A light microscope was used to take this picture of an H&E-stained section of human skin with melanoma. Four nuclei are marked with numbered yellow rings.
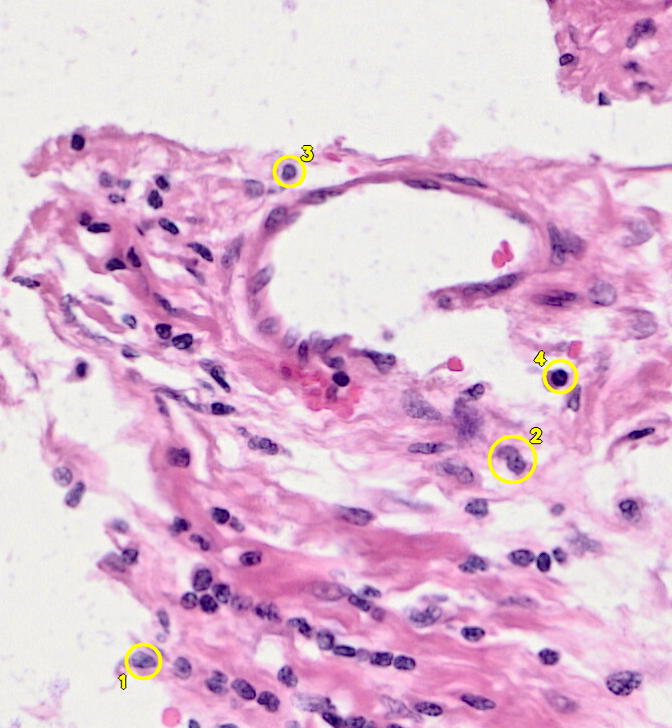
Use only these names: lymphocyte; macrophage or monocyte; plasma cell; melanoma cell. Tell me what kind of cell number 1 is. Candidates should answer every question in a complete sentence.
The cell given label 1 is a lymphocyte.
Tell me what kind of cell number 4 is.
The numbered cell 4 in this field is a plasma cell.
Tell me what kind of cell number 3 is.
The cell identified by the number 3 is a lymphocyte.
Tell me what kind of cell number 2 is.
The nucleus labeled 2 belongs to a macrophage or monocyte.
